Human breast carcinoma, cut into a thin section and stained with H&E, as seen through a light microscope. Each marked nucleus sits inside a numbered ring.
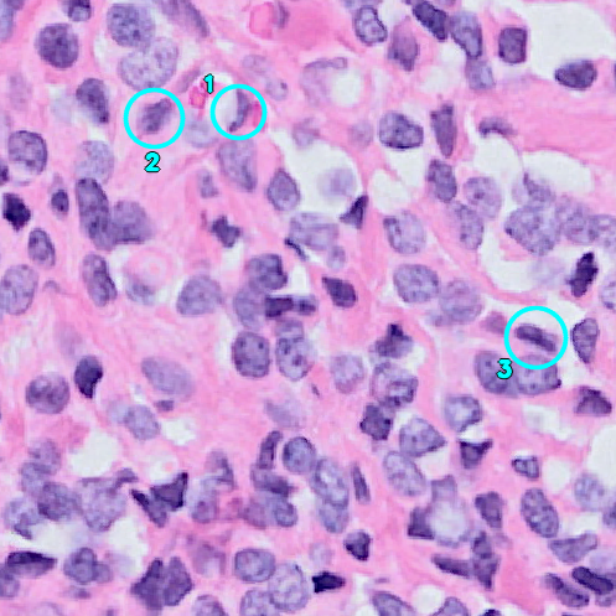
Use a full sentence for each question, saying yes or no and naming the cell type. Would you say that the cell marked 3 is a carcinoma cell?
Yes, and to answer plainly, cell 3 is a carcinoma cell.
